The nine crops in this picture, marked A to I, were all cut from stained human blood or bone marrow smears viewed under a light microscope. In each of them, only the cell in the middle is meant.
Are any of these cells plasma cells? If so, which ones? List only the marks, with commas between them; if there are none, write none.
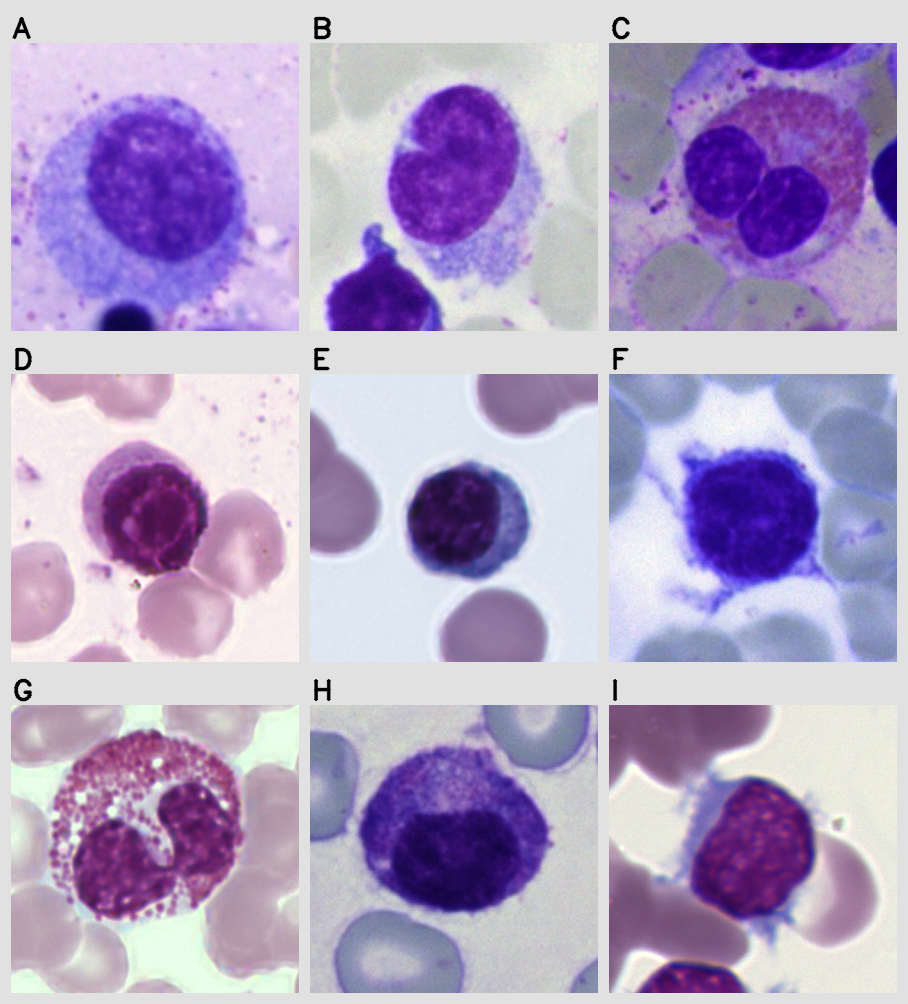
D, E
